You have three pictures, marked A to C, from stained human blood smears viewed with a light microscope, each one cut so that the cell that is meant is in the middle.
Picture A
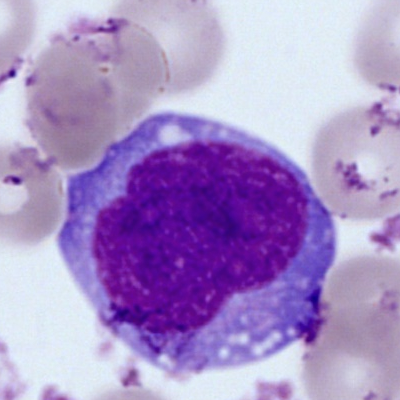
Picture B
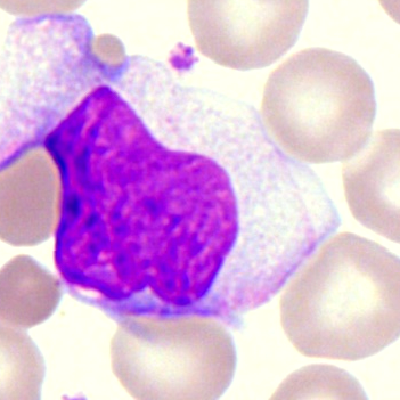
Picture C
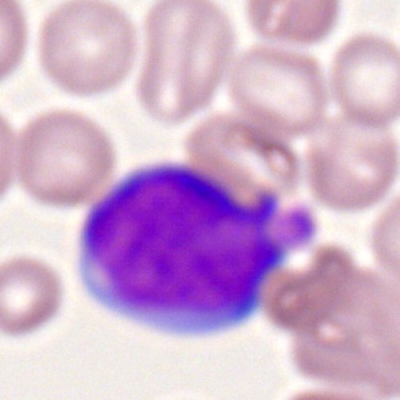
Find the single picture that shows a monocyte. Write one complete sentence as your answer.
Picture B is the one that shows the monocyte.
